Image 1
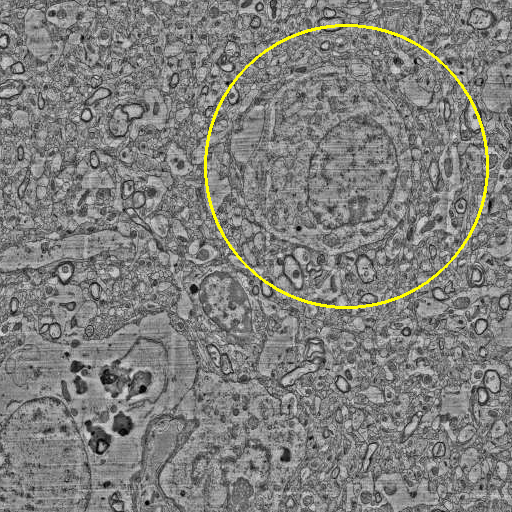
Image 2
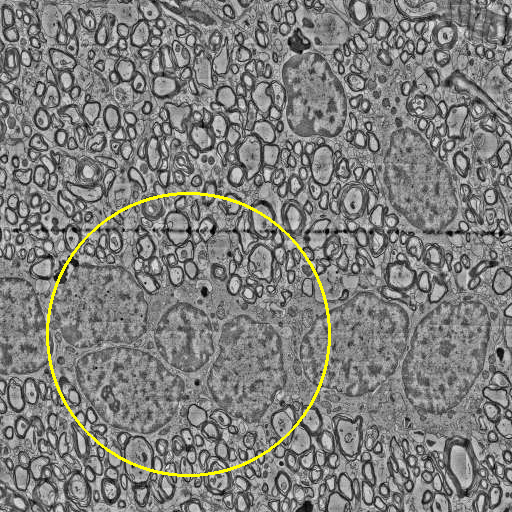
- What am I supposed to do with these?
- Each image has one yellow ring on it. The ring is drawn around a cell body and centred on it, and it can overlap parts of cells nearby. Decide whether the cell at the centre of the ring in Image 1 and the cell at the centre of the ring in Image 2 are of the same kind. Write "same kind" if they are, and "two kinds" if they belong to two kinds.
two kinds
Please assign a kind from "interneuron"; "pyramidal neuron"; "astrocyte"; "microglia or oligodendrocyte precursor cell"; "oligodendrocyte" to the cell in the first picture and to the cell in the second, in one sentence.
In the first picture we have an interneuron, and in the second, an oligodendrocyte.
